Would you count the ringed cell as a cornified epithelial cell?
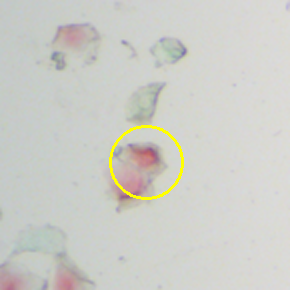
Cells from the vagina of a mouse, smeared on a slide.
No, I would count it as a nucleated epithelial cell.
